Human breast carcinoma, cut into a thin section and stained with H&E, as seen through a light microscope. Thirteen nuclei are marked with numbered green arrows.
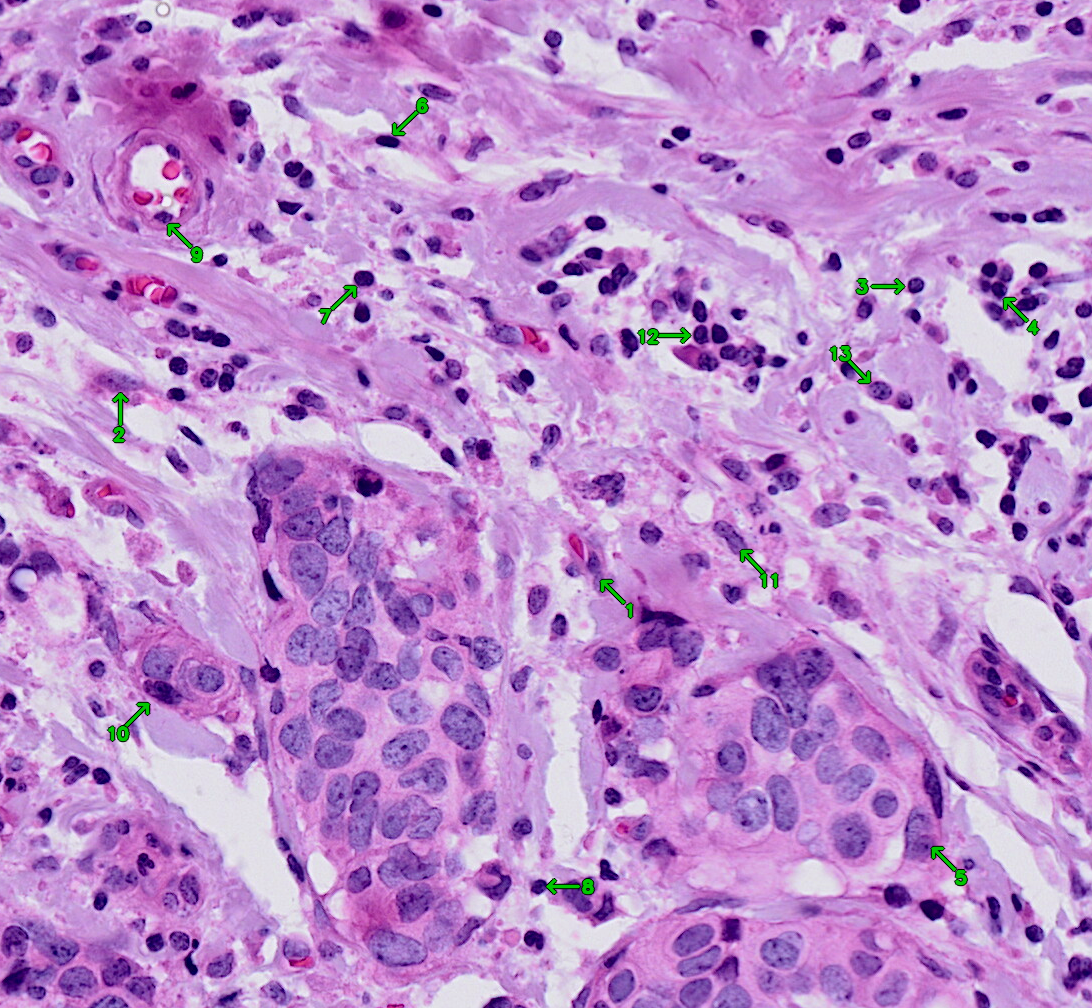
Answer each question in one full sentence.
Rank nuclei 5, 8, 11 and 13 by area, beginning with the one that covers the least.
From smallest to largest, the order is 8, 13, 11, 5.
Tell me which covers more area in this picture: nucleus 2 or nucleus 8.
Number 2 is larger; its area is about 3 times that of number 8.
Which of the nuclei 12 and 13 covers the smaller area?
It is nucleus 12; nucleus 13 has about 1.5 times its area.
